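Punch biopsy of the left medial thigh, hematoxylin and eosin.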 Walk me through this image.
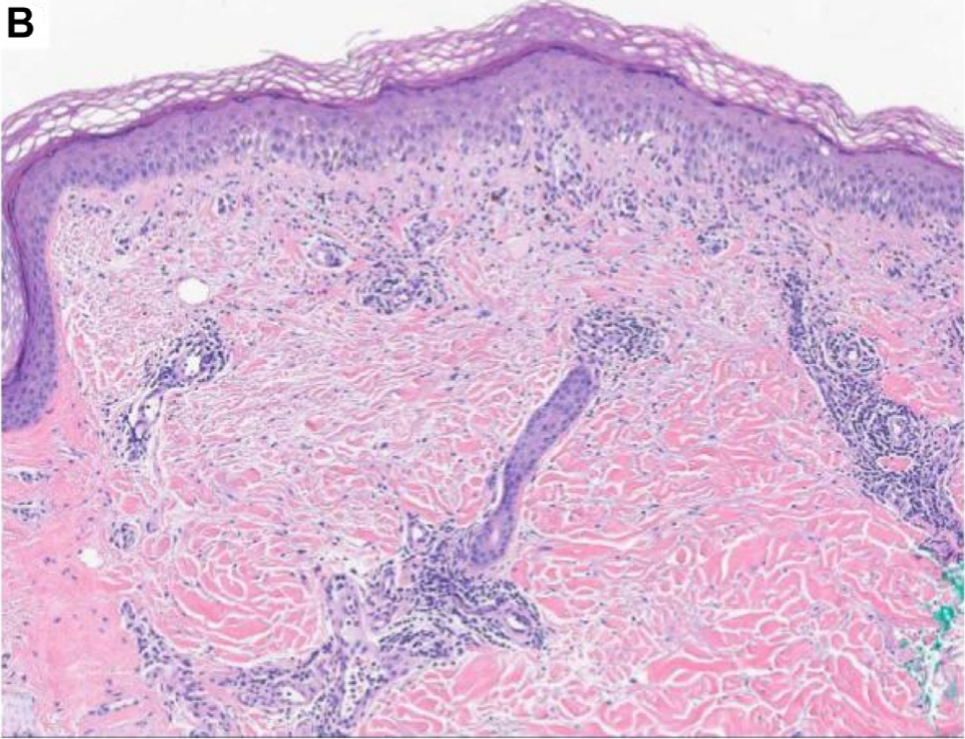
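This is skin with a thin, basket-weave cornified layer on top of a purple epidermis, and pink collagen of the dermis below. Around the small vessels of the upper dermis, and down along a hair follicle, lie cuffs of small cells with dark round nuclei, a perivascular lymphocytic infiltrate. Along the lower border of the epidermis some of these cells lie scattered at the junction, the picture of an interface dermatitis. The deeper dermis between the cuffs is comparatively quiet.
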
